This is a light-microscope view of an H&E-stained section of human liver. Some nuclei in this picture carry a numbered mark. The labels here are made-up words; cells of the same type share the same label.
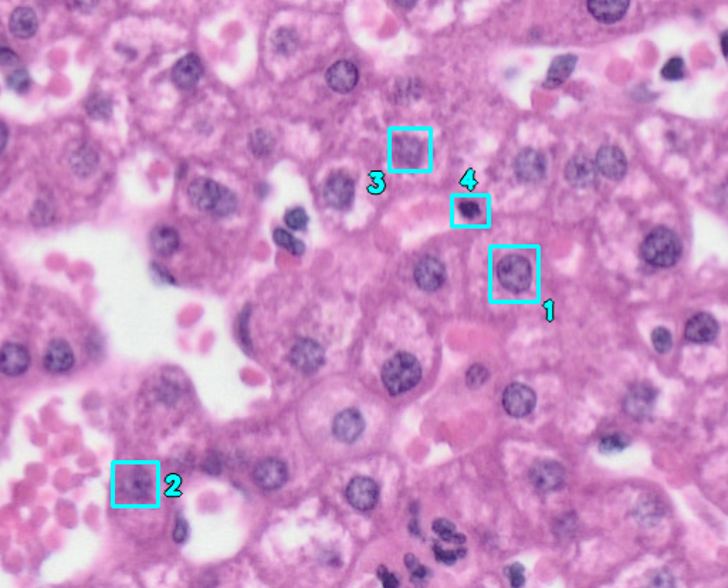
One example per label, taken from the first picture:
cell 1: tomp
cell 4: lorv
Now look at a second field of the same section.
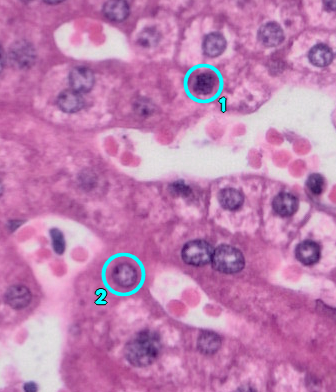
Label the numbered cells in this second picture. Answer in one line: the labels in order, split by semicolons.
lorv; tomp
